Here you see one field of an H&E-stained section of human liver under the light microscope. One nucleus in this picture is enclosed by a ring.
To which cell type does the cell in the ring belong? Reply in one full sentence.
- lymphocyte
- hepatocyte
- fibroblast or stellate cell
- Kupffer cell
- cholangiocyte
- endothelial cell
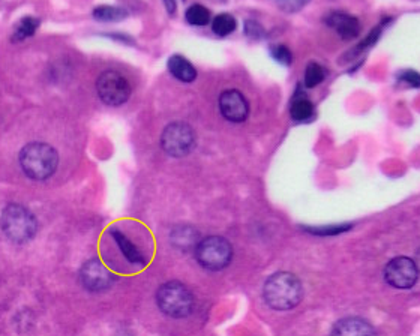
Among the cells in this section, the cell in the ring is a fibroblast or stellate cell.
